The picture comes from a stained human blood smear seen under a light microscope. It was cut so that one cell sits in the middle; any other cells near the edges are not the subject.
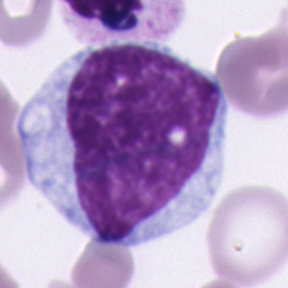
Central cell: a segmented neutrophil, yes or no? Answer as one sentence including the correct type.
No, the centred cell is a monocyte, and it is not a segmented neutrophil.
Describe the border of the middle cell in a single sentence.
No projections interrupt the outline; it is smooth all the way round.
